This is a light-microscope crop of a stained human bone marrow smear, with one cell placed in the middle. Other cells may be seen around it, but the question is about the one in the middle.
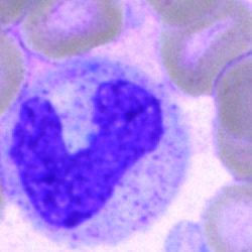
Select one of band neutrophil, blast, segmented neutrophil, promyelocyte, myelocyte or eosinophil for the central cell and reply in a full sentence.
Looking at the middle of the crop, the cell there is a band neutrophil.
